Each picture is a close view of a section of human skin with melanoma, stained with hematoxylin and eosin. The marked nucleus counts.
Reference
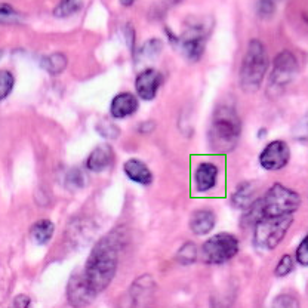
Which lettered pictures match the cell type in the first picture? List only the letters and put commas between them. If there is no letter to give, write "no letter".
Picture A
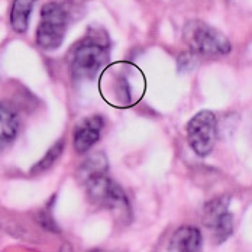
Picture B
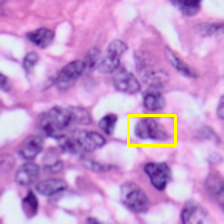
no letter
